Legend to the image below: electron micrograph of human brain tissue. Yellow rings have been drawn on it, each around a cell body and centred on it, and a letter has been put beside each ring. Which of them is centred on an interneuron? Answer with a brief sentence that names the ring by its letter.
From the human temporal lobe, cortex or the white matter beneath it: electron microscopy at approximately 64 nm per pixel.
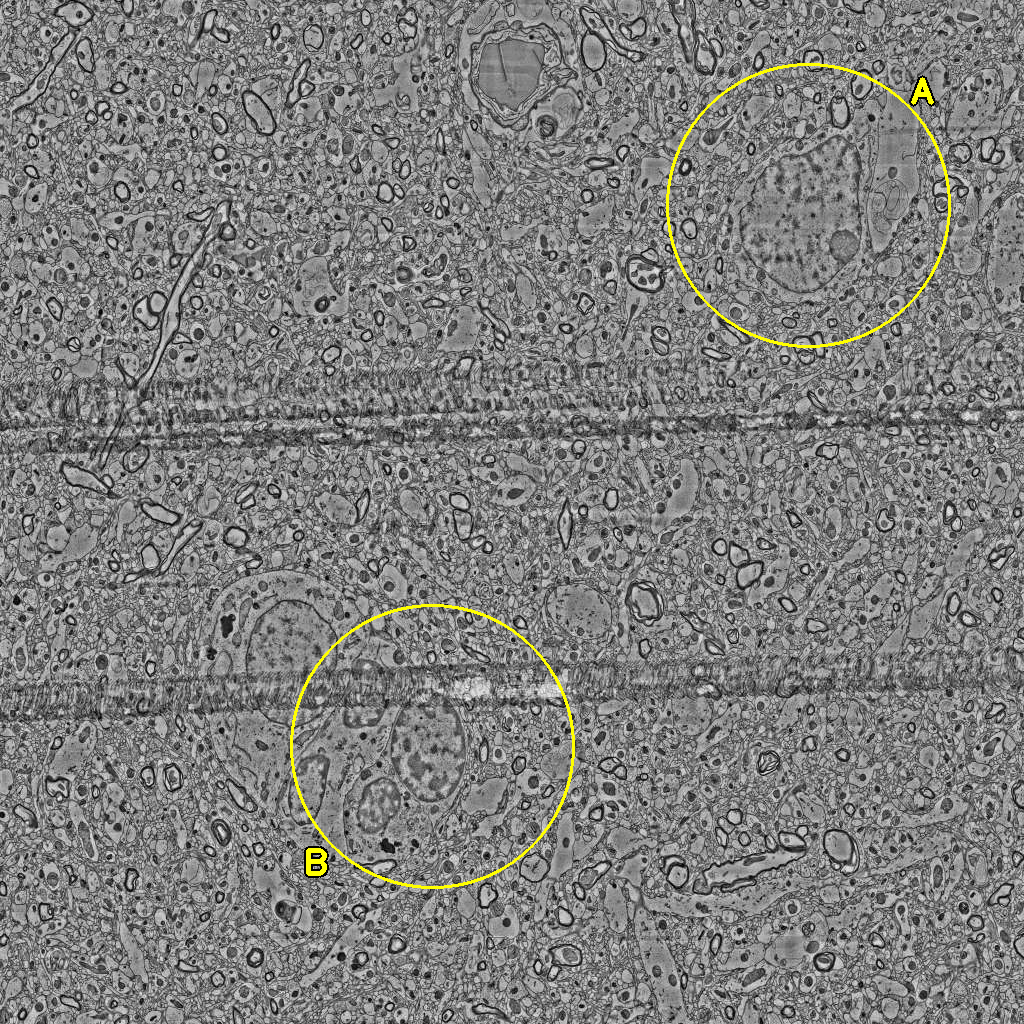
It is the ring lettered A.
